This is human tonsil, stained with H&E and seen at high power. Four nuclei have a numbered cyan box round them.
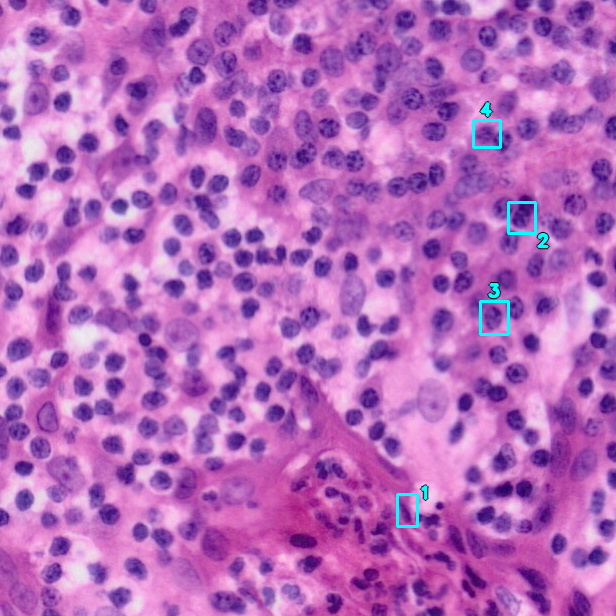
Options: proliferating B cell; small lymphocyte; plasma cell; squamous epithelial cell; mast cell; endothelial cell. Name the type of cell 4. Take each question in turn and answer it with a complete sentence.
Cell 4 in the field of view is a plasma cell.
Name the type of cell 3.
Number 3 is placed on a plasma cell here.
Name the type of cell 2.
Cell 2 is classified as a plasma cell.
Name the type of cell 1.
The nucleus labeled 1 belongs to a squamous epithelial cell.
